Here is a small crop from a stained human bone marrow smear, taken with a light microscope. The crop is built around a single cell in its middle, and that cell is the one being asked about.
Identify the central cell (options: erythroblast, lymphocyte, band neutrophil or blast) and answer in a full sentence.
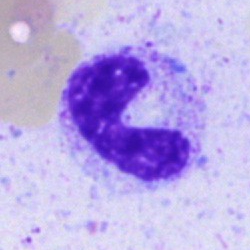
Occupying the centre of the crop is a band neutrophil.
